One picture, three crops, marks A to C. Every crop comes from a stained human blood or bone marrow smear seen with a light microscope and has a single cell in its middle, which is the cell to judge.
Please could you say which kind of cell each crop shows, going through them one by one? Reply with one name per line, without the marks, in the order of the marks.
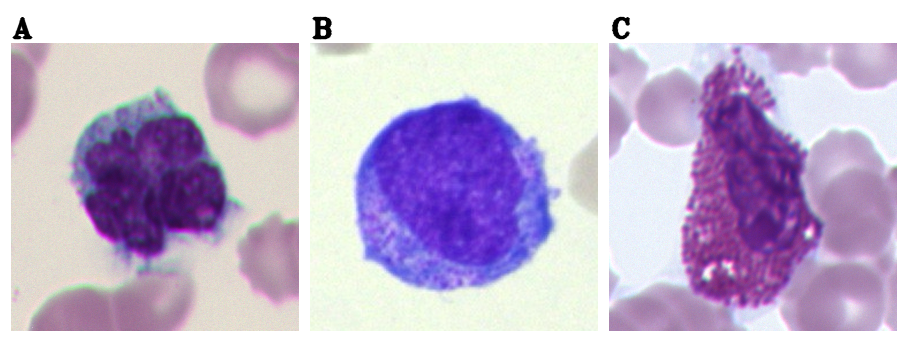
monocyte
promyelocyte
eosinophil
